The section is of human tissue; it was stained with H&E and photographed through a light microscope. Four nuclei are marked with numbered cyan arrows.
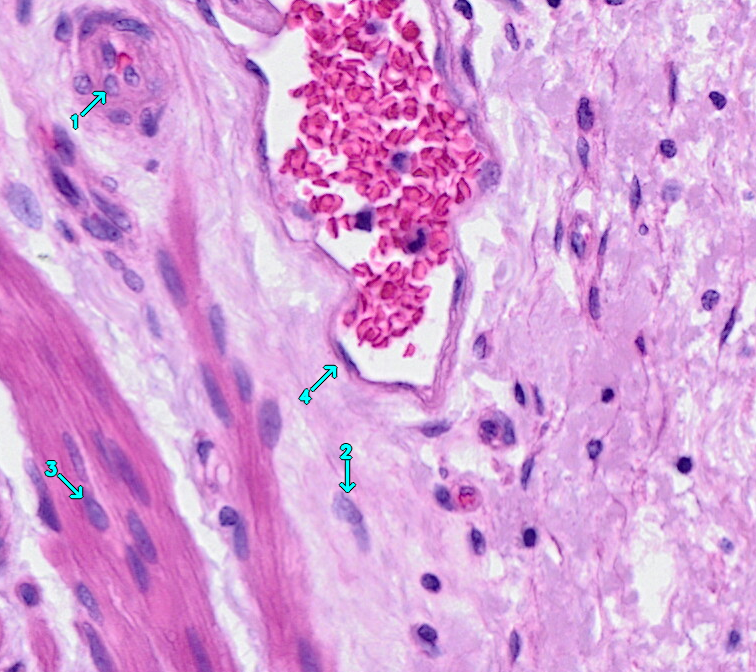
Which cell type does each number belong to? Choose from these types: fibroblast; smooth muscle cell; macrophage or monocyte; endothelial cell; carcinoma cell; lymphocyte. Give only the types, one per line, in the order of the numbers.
endothelial cell
fibroblast
smooth muscle cell
endothelial cell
